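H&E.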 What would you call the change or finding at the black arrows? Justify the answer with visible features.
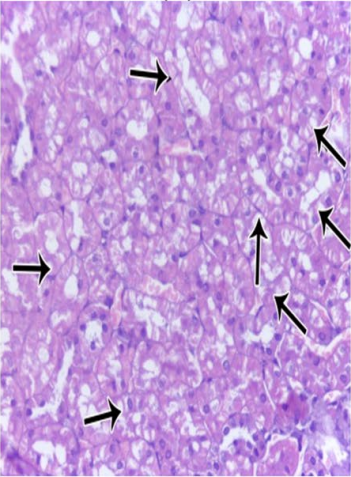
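Tubular lining cells have pale, clear, vacuolated cytoplasm. Many clear round spaces lie within the tubular epithelium.
Hence: hydropic degeneration.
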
